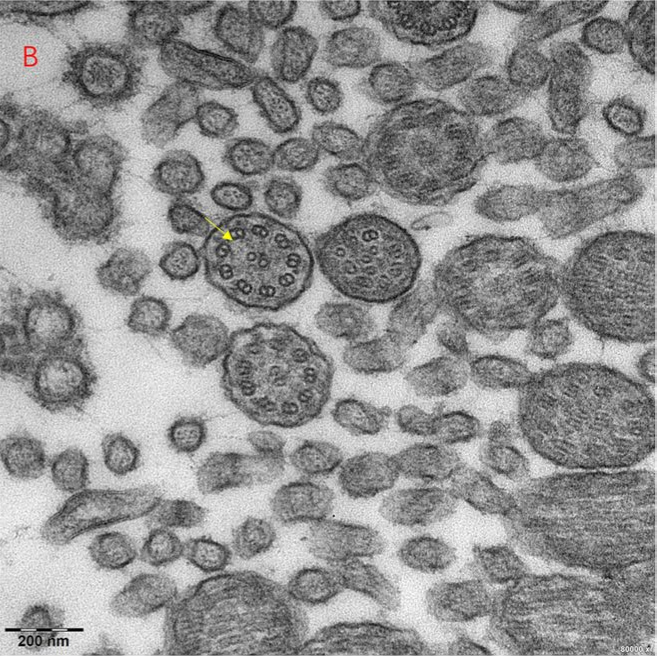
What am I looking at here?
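This electron micrograph shows many cross-sections through cilia and smaller round profiles packed together. The ciliary cross-sections show a ring of microtubule doublets around a central pair, enclosed by a membrane. Several larger round profiles with streaky interiors lie among them, and some profiles are cut lengthwise.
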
